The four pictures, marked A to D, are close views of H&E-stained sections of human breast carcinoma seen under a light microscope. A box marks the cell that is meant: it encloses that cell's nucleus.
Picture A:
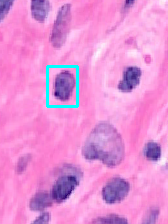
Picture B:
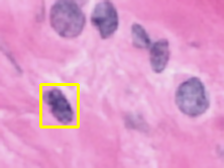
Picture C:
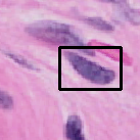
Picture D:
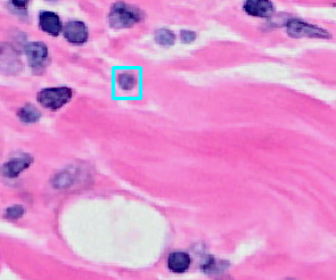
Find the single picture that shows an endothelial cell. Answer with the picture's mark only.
C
